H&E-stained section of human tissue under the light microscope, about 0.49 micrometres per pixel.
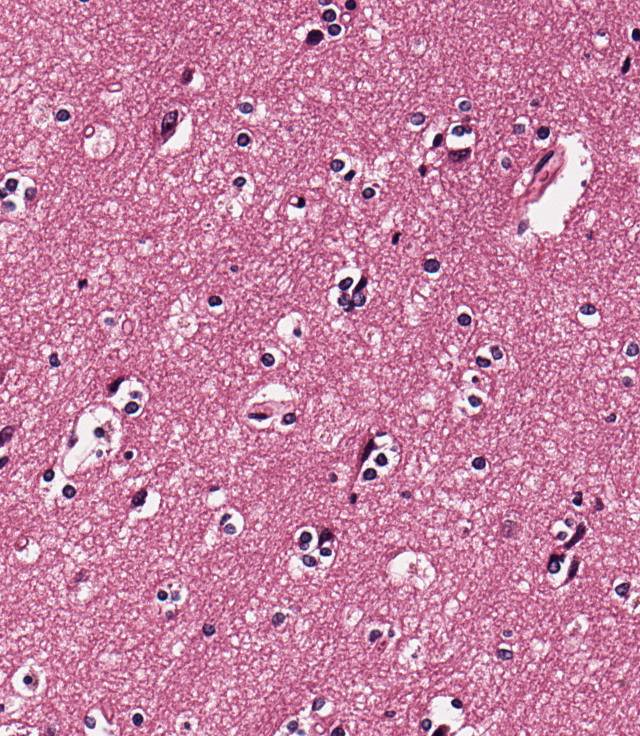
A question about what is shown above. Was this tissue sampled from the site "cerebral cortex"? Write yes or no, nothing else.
yes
